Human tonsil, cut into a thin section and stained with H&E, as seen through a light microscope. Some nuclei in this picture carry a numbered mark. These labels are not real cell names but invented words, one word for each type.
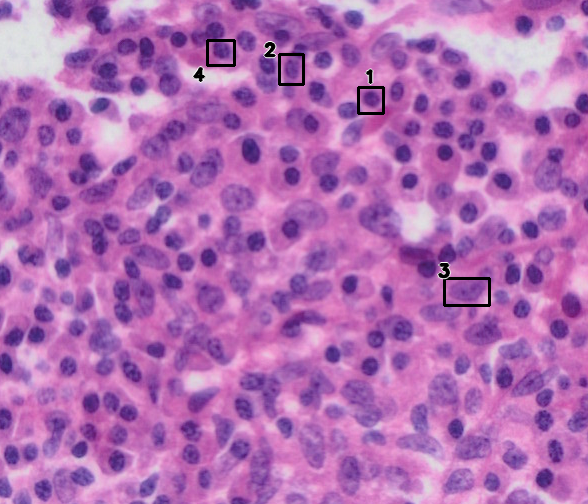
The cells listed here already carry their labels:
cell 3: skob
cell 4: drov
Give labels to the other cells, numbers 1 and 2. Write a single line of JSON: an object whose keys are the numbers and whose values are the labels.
{"1": "drov", "2": "drov"}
